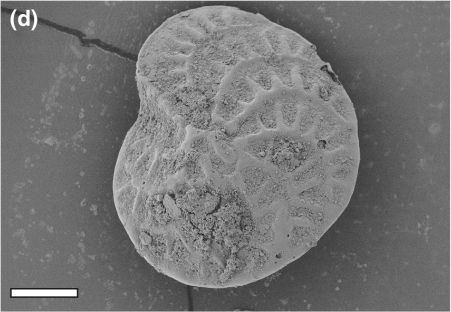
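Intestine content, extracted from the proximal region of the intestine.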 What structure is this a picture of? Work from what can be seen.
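A single rounded, flattened shell with a notch on one side. The surface shows curved, rib-like ornament arranged in a spiral pattern of chambers. Patches of granular debris adhere to the surface. On this evidence: Foraminifera tests.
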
